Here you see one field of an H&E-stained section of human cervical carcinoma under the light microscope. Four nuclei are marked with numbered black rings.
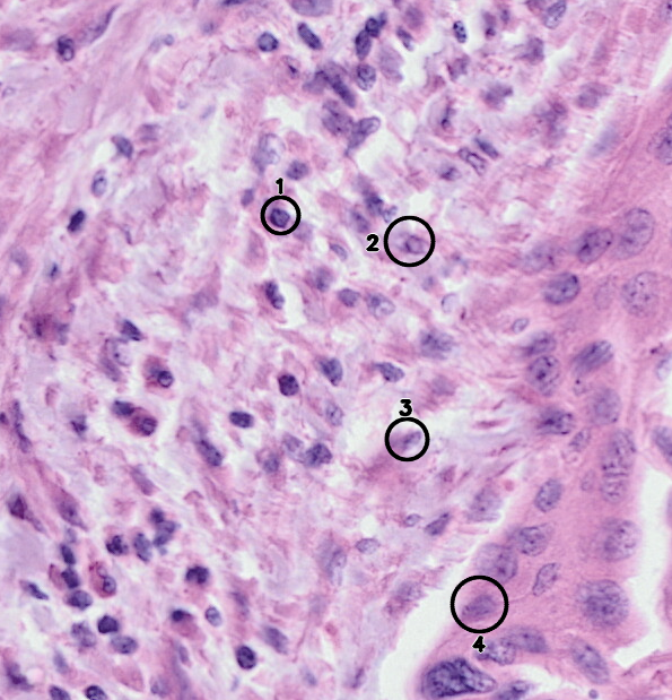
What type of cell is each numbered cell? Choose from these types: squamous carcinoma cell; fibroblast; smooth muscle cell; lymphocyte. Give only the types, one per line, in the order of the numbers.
lymphocyte
fibroblast
fibroblast
squamous carcinoma cell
